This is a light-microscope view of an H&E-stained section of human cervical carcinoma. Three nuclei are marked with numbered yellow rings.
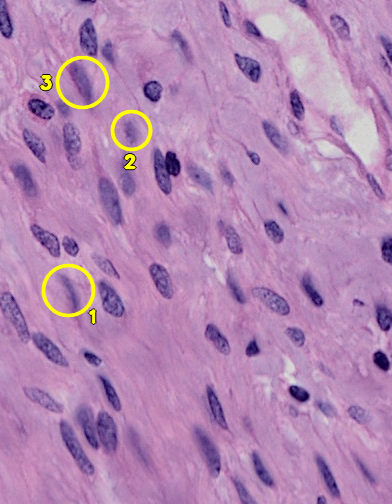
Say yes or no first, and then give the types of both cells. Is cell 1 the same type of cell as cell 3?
No, the proper labels are a fibroblast for cell 1 and a smooth muscle cell for cell 3.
